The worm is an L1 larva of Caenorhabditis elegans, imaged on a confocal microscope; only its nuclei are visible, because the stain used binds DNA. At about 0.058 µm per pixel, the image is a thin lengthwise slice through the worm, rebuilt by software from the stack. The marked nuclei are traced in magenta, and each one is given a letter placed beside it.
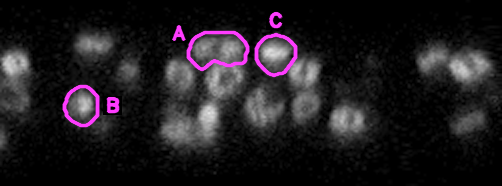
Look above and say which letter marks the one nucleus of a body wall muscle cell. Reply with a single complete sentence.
It is B that belongs to a body wall muscle cell.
